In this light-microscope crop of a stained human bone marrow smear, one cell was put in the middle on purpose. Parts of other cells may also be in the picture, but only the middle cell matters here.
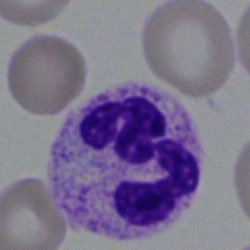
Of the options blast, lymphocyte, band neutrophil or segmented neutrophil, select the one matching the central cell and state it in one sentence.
As for the central cell, it is a segmented neutrophil.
